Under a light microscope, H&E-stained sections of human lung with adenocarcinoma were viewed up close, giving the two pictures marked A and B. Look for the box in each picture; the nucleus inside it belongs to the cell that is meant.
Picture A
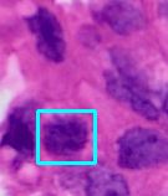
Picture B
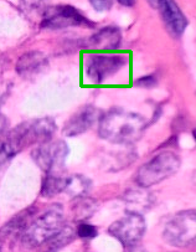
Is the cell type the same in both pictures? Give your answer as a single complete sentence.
No, picture A shows a carcinoma cell and picture B shows a ciliated epithelial cell.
